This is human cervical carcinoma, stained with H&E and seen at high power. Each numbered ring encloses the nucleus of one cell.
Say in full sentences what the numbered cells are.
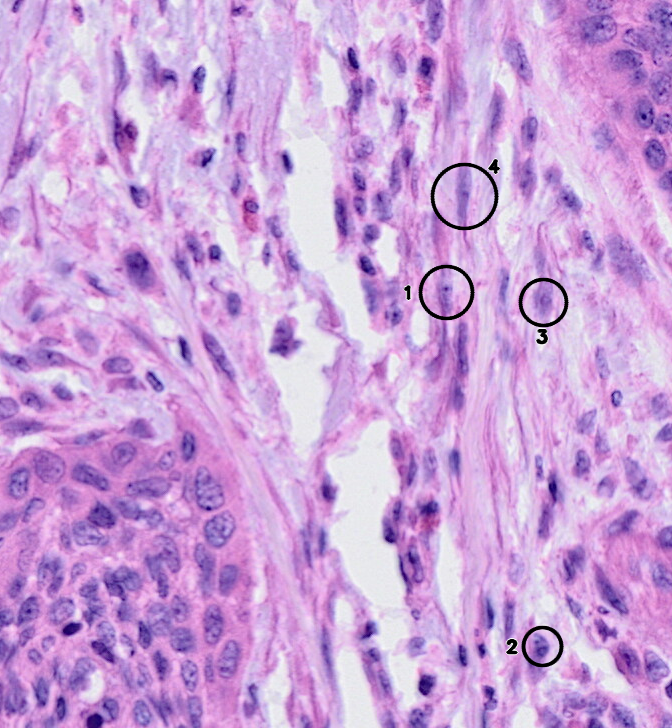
Cell 1 is a fibroblast, cell 2 is a lymphocyte, cell 3 is a fibroblast and cell 4 is a fibroblast.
